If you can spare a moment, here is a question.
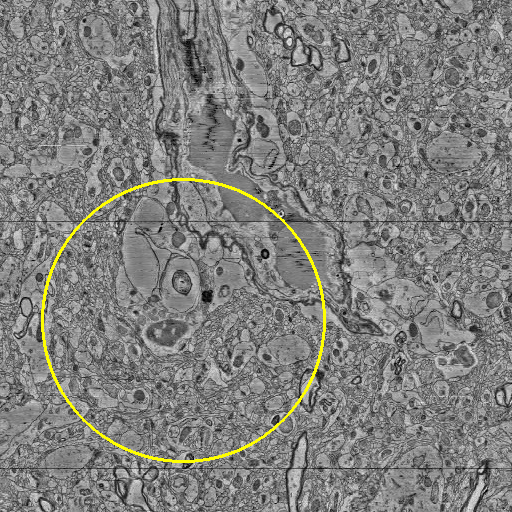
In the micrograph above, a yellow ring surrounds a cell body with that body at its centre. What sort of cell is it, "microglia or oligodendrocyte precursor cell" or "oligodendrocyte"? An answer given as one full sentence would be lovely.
Centred inside the yellow ring, the cell body shown belongs to a microglial cell or oligodendrocyte precursor cell in this micrograph.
